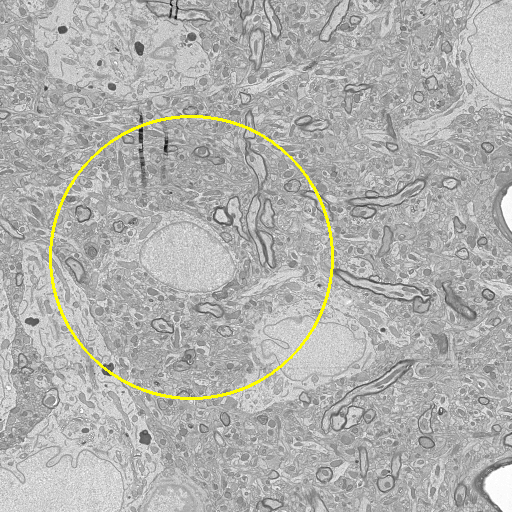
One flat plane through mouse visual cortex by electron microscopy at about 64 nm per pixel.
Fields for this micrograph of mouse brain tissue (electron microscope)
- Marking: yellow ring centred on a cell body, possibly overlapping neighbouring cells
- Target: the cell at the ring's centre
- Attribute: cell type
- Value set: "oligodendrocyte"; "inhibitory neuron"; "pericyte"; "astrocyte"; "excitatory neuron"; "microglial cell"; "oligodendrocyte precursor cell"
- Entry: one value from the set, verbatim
astrocyte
